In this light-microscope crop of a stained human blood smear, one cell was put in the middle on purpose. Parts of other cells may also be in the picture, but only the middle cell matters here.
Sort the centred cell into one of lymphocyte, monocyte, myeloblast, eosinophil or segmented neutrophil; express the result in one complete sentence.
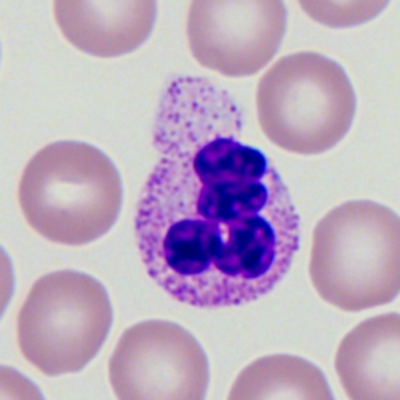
As for the cell in the middle, it is a segmented neutrophil.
